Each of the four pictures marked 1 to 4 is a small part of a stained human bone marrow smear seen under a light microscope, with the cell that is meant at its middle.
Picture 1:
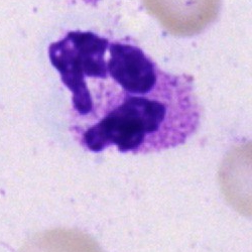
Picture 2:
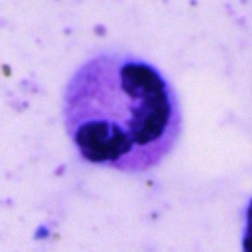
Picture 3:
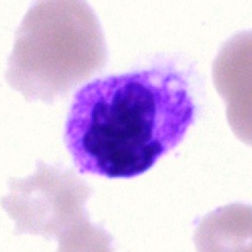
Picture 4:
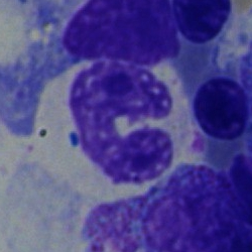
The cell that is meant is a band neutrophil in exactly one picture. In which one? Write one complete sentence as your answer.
The picture with the band neutrophil is 4.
